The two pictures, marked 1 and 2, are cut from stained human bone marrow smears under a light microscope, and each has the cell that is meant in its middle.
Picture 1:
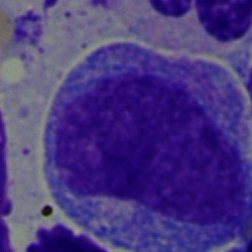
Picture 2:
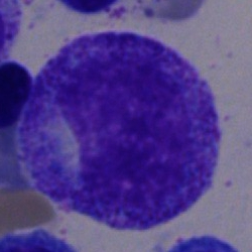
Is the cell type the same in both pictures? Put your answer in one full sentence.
Yes, they are the same type: both are promyelocytes.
